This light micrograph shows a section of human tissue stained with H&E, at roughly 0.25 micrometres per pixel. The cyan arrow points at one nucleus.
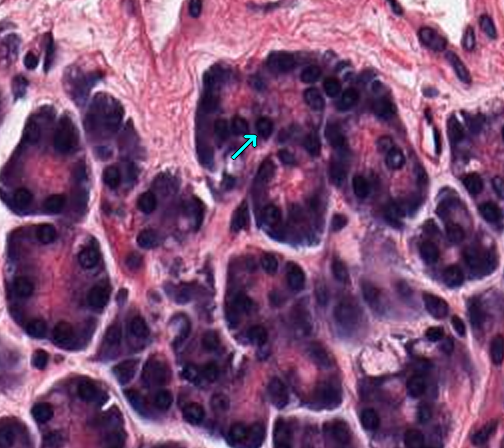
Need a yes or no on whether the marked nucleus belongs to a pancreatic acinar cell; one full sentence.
Yes, the nucleus that carries the mark belongs to a pancreatic acinar cell.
